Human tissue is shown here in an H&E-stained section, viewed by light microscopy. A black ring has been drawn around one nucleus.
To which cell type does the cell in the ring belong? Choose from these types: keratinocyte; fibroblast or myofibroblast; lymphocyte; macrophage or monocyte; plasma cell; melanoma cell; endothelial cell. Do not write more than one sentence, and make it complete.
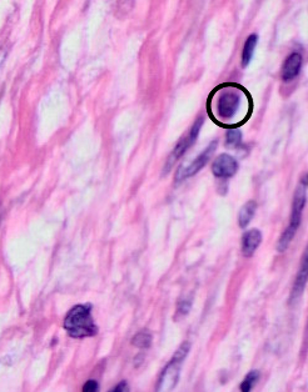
As far as its identity is concerned, the cell in the ring is a plasma cell.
